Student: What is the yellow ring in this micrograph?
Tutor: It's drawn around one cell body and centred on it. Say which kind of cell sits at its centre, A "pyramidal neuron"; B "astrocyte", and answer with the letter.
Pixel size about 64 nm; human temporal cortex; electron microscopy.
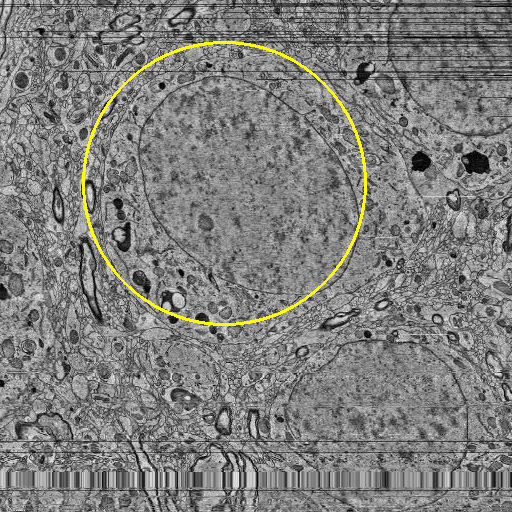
A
